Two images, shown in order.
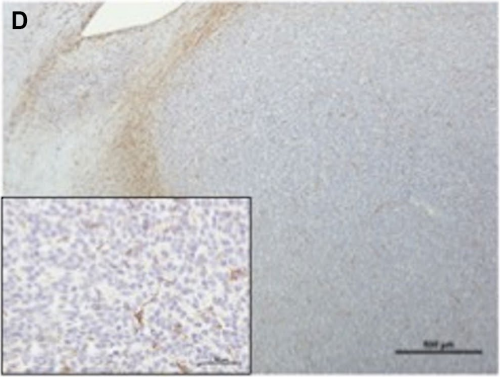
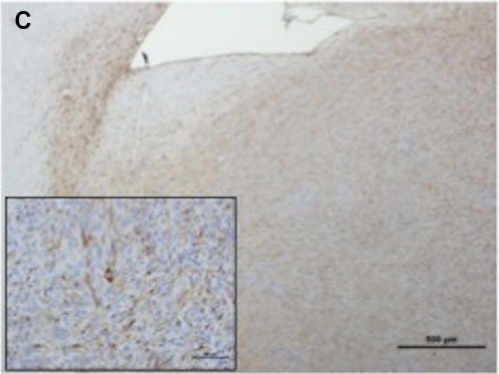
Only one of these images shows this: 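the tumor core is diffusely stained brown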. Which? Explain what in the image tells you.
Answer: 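First image: the large tumor mass on the right is pale blue-grey, with brown only in a band at the left. Second image: the large tumor mass is diffusely light brown throughout, not only at its edge. The answer: the second image.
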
